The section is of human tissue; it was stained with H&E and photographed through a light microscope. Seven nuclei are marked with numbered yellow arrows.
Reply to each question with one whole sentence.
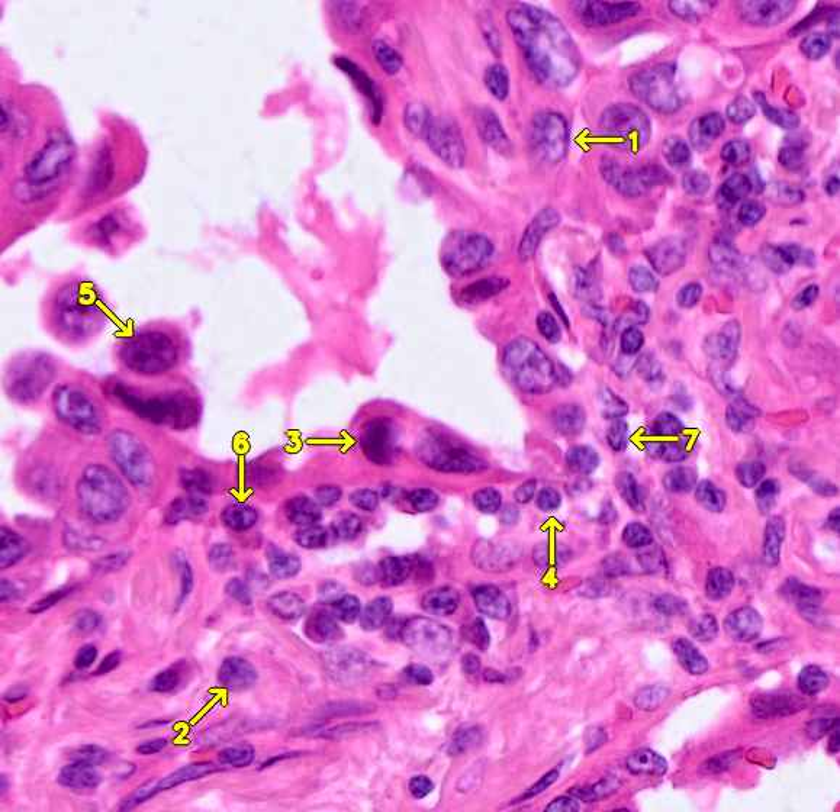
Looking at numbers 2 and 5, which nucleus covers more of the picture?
Of the two, number 5 is bigger and takes up about 2 times the area of number 2.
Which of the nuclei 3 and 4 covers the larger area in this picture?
At about 3 times the area of nucleus 4, nucleus 3 is the larger of the two.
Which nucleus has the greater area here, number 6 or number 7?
Nucleus 6 is larger, with an area about 1.5 times that of nucleus 7.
